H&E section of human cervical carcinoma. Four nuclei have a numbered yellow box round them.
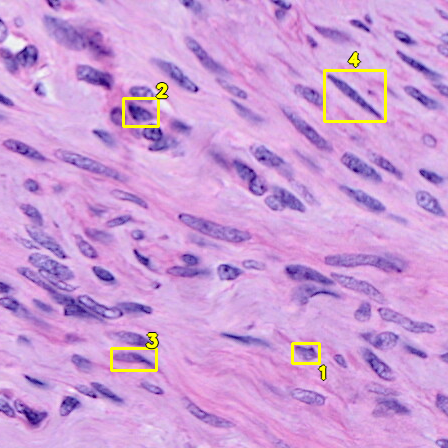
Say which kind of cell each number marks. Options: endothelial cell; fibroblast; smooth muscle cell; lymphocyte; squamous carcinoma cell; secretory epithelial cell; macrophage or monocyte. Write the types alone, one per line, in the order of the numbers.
smooth muscle cell
endothelial cell
smooth muscle cell
smooth muscle cell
